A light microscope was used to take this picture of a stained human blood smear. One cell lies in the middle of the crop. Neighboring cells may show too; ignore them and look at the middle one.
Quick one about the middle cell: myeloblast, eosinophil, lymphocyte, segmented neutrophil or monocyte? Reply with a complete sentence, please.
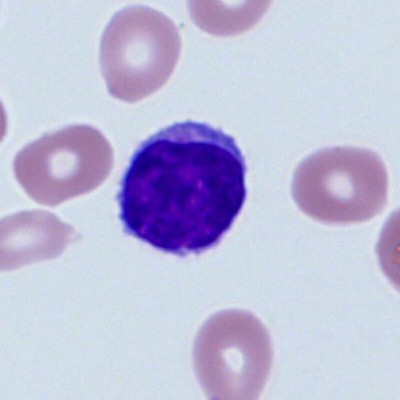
At the center of the crop sits a lymphocyte.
